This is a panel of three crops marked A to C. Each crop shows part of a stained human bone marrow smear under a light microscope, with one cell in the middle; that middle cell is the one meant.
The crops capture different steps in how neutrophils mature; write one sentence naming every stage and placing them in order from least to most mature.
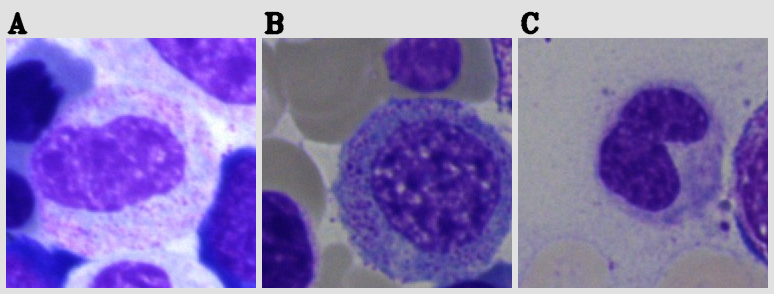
It is in the order crop B (a myelocyte), crop A (a metamyelocyte) and crop C (a band neutrophil) that maturity increases.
